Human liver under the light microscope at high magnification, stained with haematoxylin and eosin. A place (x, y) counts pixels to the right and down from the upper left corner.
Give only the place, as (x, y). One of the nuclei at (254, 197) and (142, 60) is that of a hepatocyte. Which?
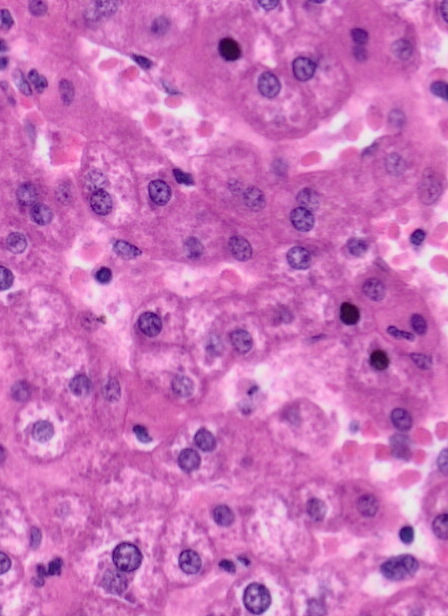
(254, 197)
